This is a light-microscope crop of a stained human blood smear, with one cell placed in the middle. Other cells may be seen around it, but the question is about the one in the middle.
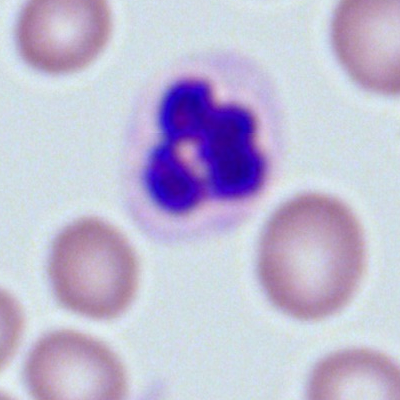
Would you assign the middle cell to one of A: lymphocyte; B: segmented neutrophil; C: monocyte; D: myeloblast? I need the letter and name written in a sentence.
The correct identification, given in option B, is that the central cell is a segmented neutrophil.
